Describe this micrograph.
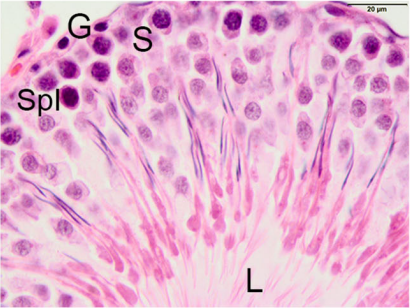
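This is seminiferous epithelium of the testis, with spermatogonia and Sertoli cells along the base of the tubule and large round primary spermatocytes with coarse dark purple chromatin above them. Toward the lumen, slender dark elongated heads of late spermatids are gathered in radiating bundles, and their pink tails stream into the lumen.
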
